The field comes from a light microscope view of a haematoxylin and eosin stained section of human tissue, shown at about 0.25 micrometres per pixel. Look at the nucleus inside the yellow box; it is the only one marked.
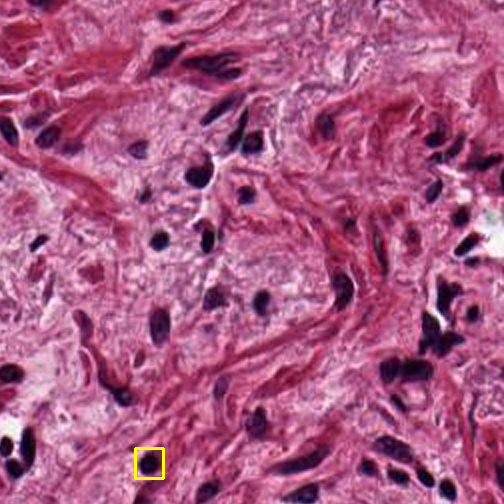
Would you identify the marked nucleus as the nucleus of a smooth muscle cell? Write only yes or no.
no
